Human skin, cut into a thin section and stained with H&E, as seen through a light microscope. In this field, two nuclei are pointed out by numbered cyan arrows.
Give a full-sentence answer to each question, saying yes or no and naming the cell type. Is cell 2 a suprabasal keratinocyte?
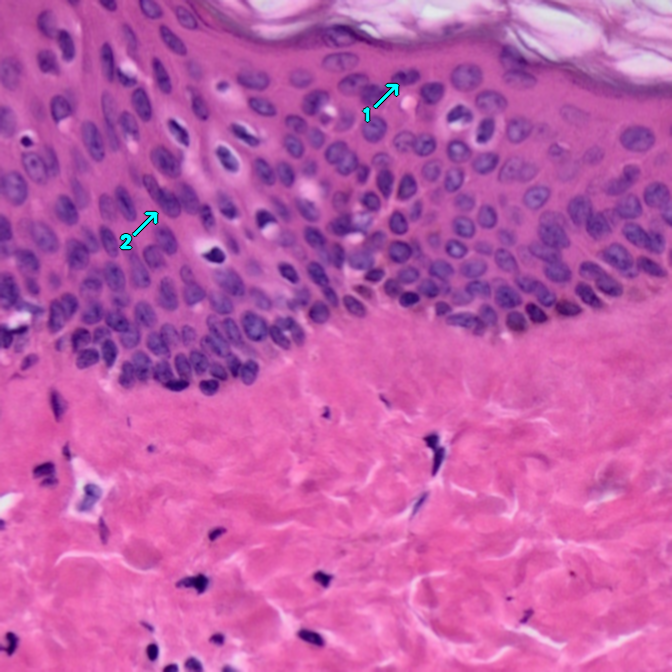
No, it is a basal keratinocyte, rather than a suprabasal keratinocyte, that carries number 2.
